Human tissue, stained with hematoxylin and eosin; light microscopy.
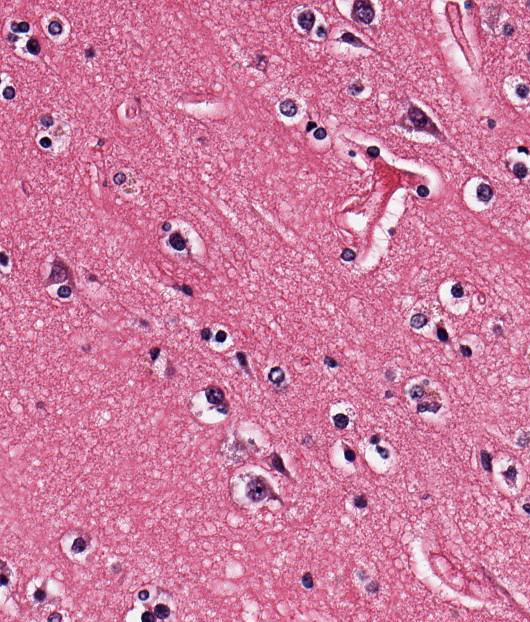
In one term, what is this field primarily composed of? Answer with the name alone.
cerebral cortex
